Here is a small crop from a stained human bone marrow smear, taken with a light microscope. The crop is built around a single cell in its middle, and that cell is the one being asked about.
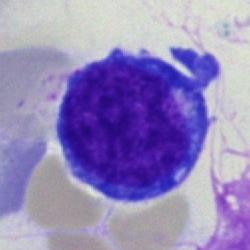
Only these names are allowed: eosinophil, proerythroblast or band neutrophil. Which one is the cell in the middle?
proerythroblast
